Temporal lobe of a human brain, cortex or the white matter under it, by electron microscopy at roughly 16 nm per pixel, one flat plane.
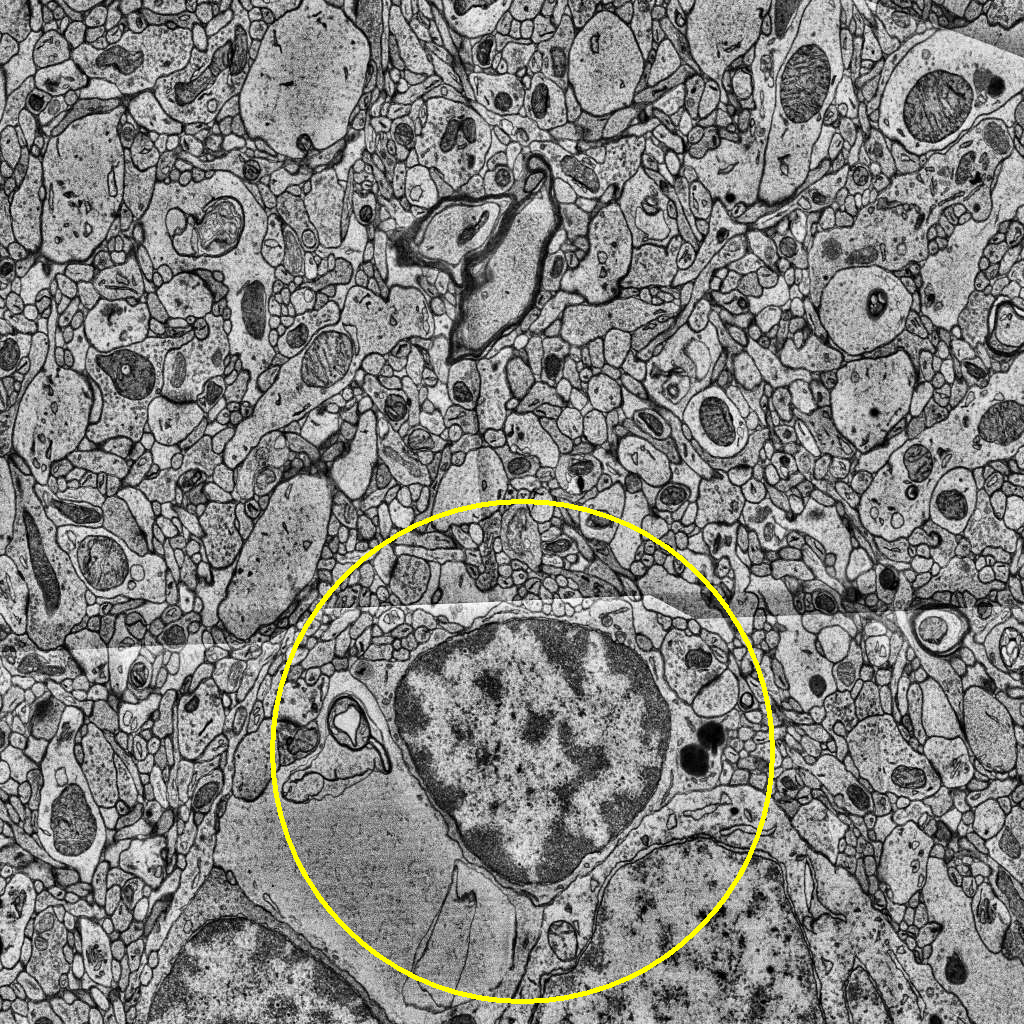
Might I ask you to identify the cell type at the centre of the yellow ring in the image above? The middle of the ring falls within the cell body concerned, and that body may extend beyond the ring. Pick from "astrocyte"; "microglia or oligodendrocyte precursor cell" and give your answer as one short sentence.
The centre of the ring falls on a microglial cell or oligodendrocyte precursor cell.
